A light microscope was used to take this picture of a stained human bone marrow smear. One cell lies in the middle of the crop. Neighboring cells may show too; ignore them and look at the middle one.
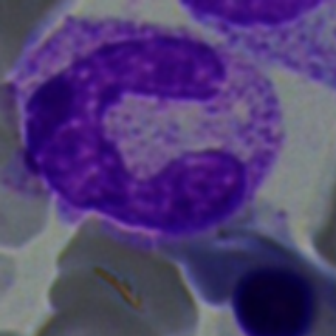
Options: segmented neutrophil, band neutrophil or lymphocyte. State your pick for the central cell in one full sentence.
The cell of interest, in the center, is a band neutrophil.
